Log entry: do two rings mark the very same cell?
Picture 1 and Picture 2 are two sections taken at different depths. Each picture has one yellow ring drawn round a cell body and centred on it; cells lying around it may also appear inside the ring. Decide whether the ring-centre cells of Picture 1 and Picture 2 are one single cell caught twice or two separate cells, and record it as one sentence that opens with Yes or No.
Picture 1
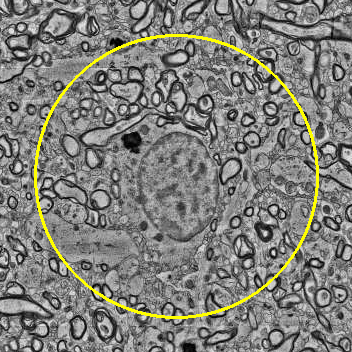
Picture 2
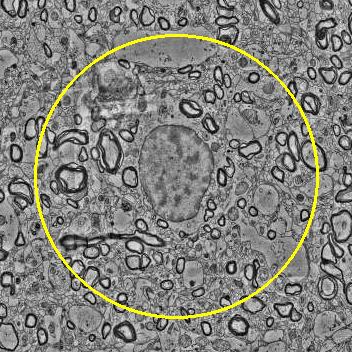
No, the cell in one ring is not the cell in the other.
